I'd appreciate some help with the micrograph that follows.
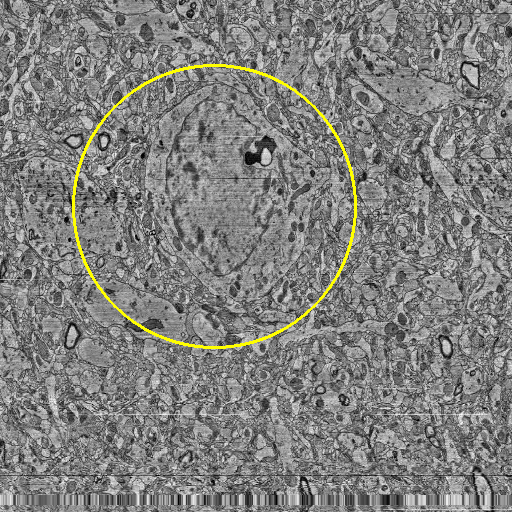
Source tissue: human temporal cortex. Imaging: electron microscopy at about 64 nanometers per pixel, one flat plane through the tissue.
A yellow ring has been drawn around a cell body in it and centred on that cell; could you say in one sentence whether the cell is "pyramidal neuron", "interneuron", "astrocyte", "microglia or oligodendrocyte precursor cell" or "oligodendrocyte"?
It is an interneuron at the centre of the ring.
